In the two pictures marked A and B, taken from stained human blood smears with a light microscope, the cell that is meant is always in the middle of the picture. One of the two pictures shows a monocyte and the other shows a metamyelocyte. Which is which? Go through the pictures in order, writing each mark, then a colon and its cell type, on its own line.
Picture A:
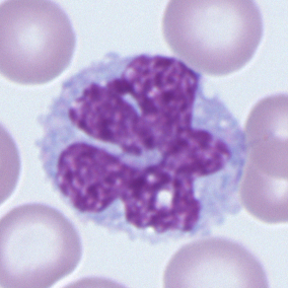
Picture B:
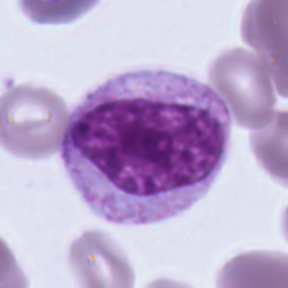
A: monocyte
B: metamyelocyte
